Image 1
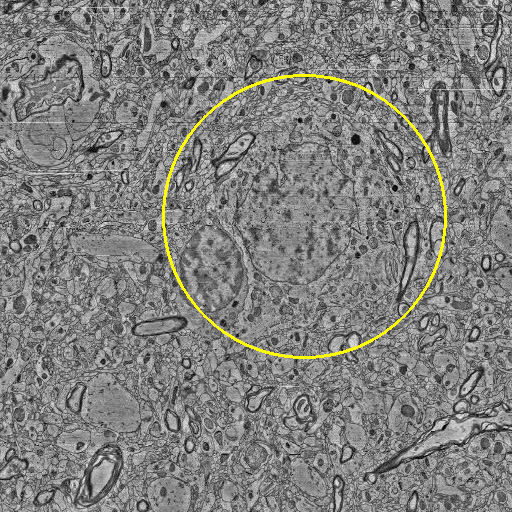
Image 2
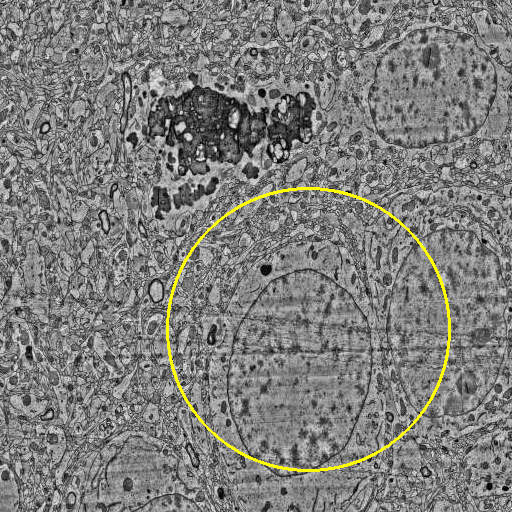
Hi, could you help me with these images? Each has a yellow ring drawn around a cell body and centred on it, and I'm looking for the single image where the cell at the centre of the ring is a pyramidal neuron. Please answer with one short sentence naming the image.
It is Image 2 that has it at the centre of its ring.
